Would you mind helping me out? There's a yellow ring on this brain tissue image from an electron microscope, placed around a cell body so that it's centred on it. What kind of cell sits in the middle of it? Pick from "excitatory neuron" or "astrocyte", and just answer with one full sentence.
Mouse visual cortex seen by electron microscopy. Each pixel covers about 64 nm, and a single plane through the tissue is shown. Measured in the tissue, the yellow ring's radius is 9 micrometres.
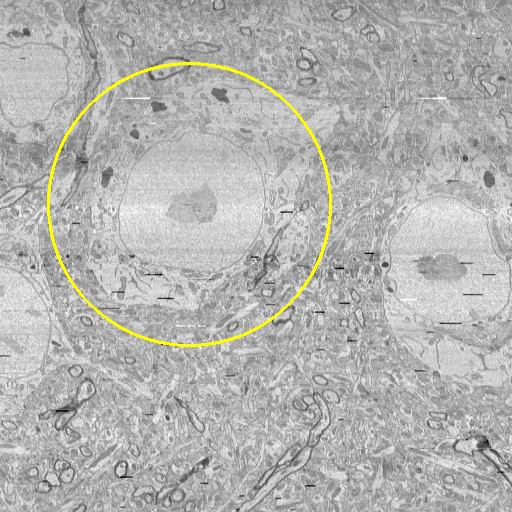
What sits in the middle of that yellow ring is an excitatory neuron, from your choices.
